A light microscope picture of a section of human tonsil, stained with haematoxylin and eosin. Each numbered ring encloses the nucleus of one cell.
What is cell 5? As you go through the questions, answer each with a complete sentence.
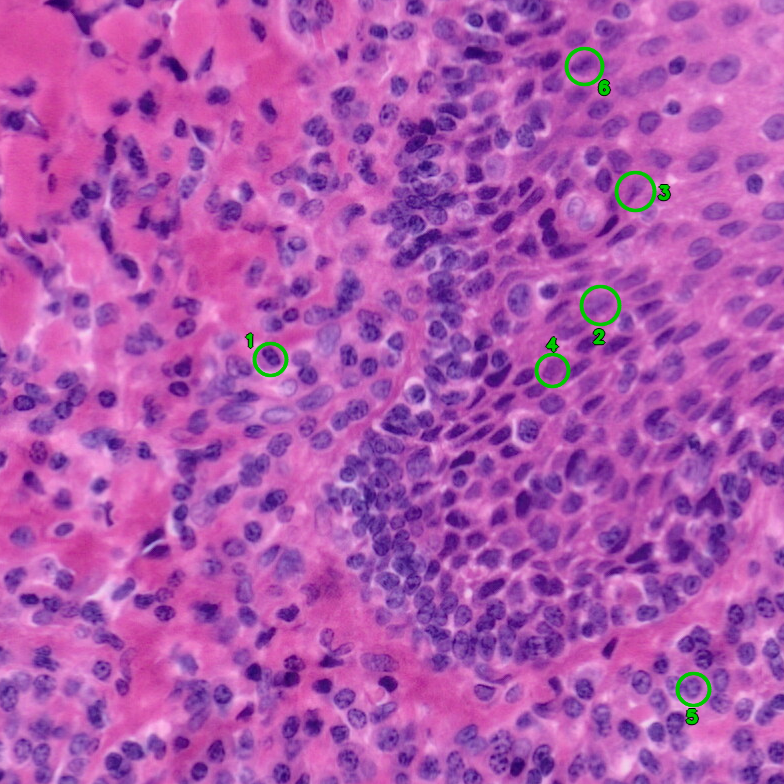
The cell pointed out as number 5 is a plasma cell.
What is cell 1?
Number 1 is placed on a plasma cell here.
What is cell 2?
The cell with the number 2 is a squamous epithelial cell.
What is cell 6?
It is as a squamous epithelial cell that the cell numbered 6 is identified.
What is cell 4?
The cell numbered 4 has been identified as a squamous epithelial cell.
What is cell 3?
To a squamous epithelial cell belongs the nucleus marked 3.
